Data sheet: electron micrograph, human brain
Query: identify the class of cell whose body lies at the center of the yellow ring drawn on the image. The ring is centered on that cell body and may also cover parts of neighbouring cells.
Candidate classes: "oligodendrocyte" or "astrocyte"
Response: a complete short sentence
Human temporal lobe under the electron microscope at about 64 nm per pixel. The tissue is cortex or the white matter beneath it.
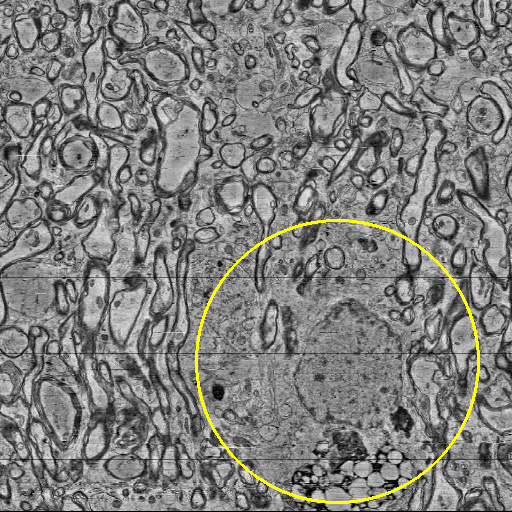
At the center of the ring lies an astrocyte.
